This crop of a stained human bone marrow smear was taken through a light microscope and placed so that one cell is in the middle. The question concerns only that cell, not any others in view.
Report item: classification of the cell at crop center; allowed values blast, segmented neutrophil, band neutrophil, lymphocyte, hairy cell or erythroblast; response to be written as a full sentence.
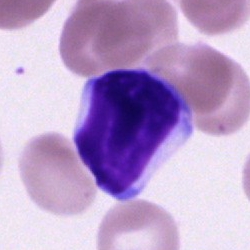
For this crop, the cell in the middle is a lymphocyte.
